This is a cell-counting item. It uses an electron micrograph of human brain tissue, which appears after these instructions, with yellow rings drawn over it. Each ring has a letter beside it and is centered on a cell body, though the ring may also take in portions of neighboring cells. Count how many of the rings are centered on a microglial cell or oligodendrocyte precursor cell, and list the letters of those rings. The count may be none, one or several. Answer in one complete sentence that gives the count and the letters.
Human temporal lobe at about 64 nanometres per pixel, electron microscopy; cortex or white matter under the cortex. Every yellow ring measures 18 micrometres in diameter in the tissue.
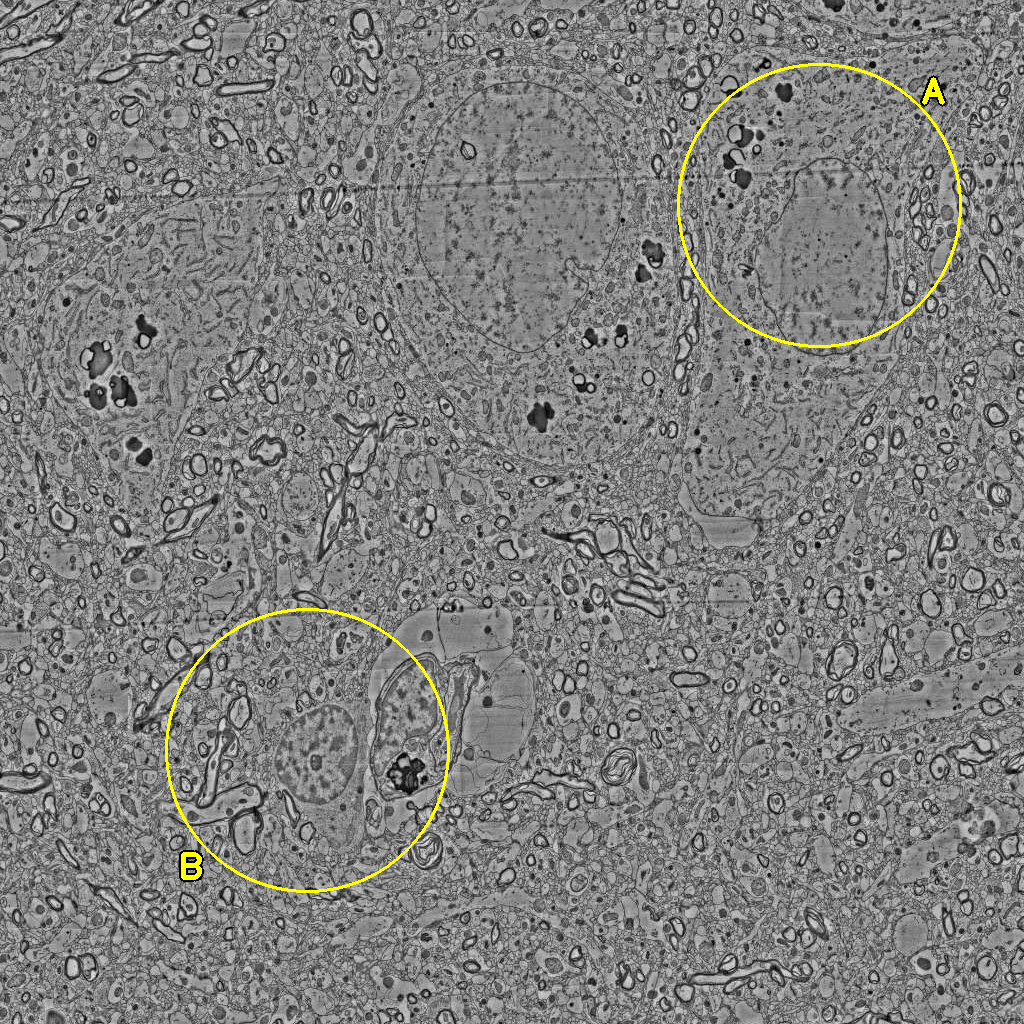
Rings centred on a microglial cell or oligodendrocyte precursor cell are absent from the micrograph, putting the count at zero.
